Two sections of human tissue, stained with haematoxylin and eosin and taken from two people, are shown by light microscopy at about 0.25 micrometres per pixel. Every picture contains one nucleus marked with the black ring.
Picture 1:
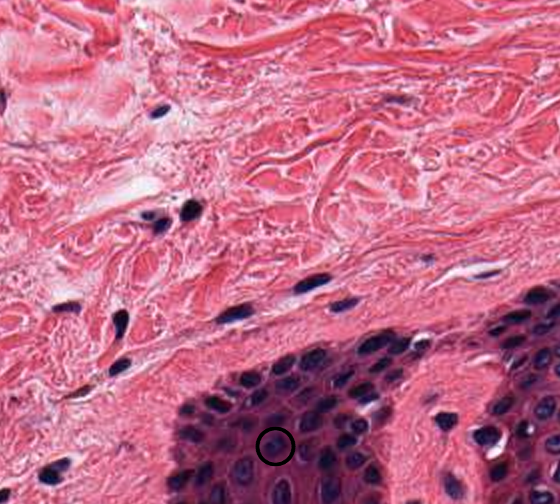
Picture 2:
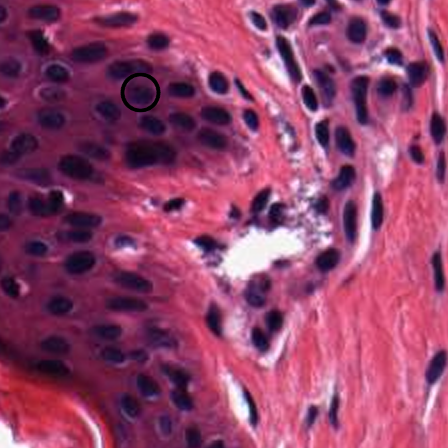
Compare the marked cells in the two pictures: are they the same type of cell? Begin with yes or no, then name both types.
Yes, both are keratinocytes.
